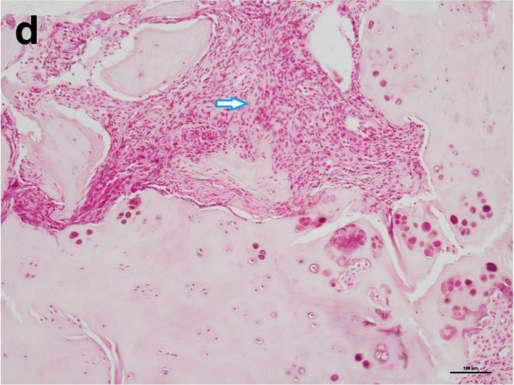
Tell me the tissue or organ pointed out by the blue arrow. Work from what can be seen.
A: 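This band fills a gap between pale pieces of cartilage matrix. On this evidence: Granulation tissue.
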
